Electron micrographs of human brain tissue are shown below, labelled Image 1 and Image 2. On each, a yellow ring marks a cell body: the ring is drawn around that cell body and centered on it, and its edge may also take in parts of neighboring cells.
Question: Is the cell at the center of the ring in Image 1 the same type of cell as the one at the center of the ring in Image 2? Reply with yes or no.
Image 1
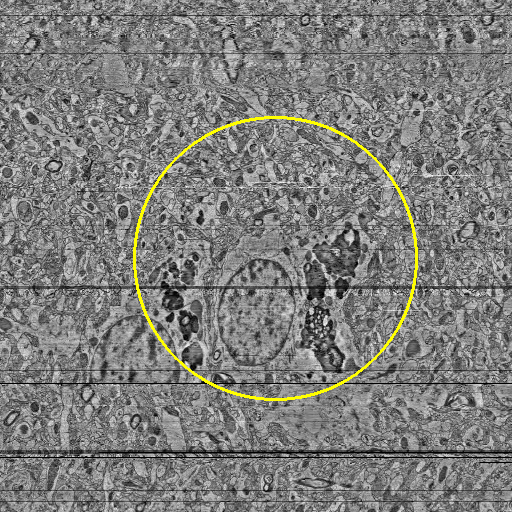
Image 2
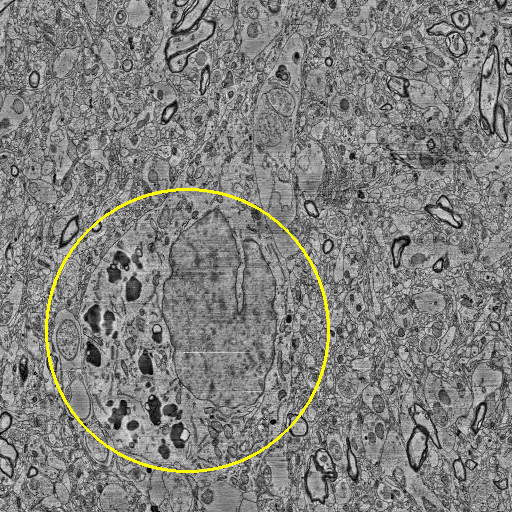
no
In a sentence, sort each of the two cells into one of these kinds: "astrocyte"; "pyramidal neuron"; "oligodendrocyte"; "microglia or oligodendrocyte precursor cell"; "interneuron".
The first of the two cells is an astrocyte, and the second is an interneuron.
